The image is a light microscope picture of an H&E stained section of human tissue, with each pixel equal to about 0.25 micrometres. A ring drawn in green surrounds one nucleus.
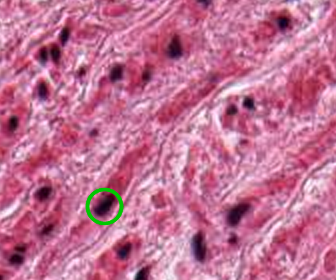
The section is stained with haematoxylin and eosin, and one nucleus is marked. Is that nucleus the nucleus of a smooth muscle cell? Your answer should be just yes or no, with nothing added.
yes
